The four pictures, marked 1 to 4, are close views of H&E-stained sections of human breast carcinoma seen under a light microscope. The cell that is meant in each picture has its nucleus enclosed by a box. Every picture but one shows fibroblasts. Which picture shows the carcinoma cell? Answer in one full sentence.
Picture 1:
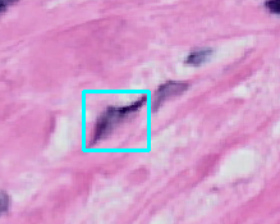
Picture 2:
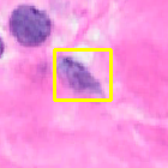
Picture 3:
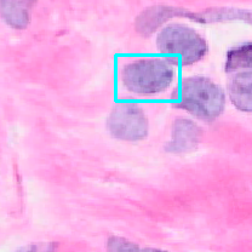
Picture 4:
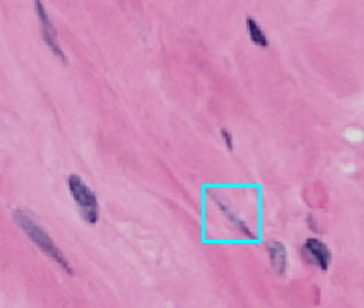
Picture 3 shows the carcinoma cell.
